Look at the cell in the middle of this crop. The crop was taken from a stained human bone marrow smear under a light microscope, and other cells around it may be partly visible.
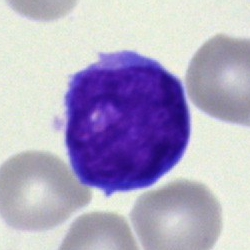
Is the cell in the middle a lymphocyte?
no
